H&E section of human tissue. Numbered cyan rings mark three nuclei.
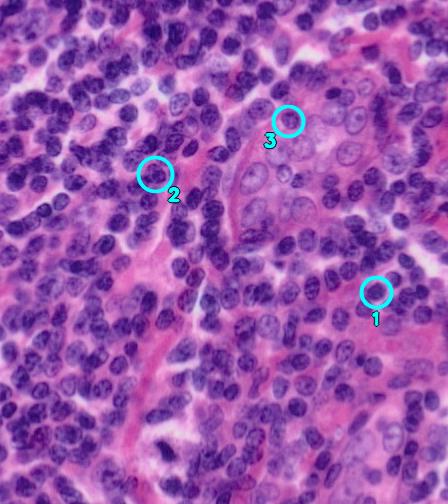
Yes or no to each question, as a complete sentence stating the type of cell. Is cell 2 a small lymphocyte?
Yes, the cell that is numbered 2 is a small lymphocyte.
